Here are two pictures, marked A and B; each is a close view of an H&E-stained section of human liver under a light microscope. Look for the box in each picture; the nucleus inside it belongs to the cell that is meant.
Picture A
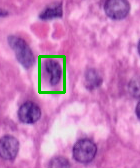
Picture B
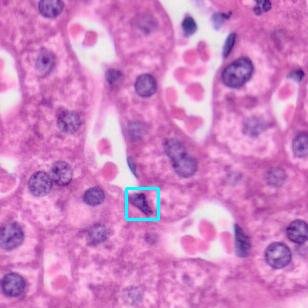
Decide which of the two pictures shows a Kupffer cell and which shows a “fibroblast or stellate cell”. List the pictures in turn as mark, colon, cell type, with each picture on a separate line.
A: Kupffer cell
B: fibroblast or stellate cell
